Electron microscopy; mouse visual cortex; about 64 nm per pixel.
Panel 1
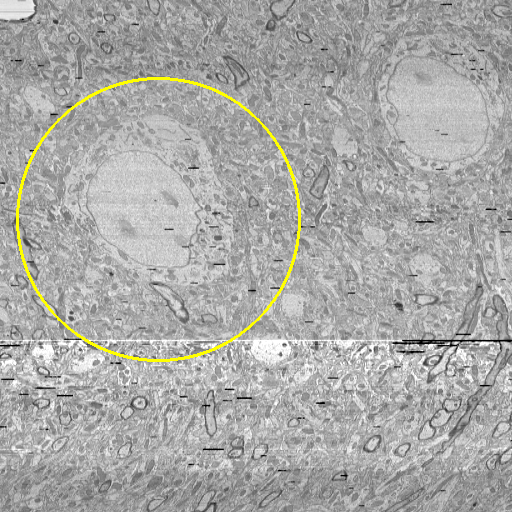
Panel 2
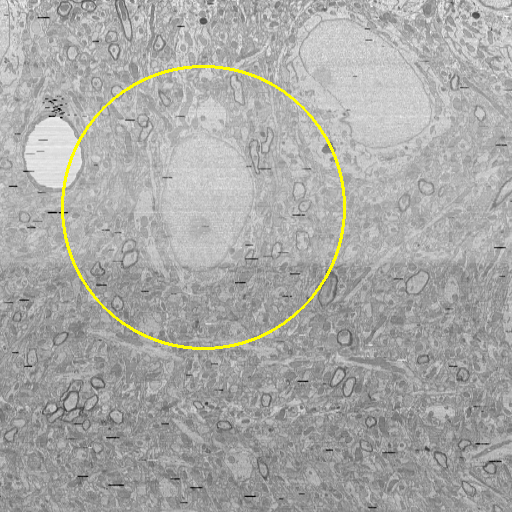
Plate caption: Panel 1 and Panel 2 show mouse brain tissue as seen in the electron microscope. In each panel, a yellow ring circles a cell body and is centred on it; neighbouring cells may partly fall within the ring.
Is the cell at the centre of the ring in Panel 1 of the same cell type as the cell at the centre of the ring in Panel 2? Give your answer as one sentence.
No, the two cells are of two types.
